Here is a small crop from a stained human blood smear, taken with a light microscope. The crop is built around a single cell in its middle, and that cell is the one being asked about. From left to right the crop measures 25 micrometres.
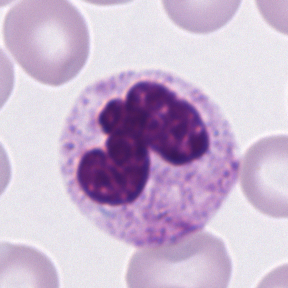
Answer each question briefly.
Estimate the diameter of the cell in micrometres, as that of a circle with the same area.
15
